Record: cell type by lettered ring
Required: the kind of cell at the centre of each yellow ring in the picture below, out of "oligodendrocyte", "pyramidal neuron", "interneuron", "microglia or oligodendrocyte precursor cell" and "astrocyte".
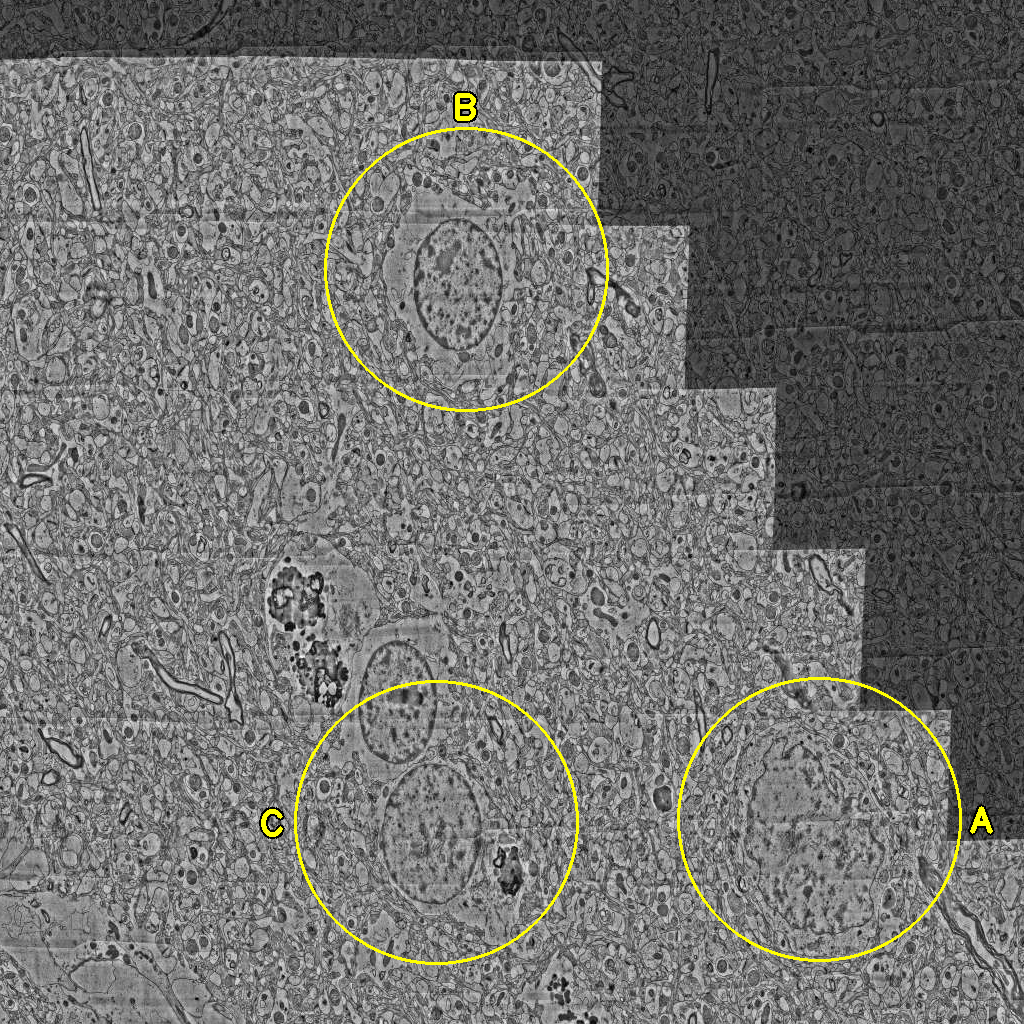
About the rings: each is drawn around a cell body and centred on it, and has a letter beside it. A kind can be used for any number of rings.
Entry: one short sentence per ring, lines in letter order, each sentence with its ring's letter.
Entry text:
At ring A we have an interneuron.
At ring B we have an astrocyte.
At ring C we have an astrocyte.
